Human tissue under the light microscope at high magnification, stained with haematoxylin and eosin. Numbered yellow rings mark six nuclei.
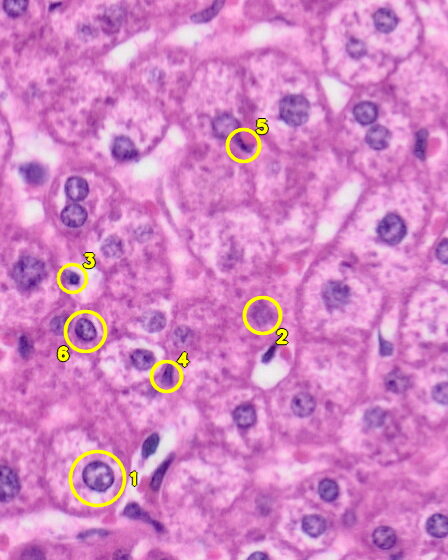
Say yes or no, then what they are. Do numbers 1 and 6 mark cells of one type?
Yes, cell 1 and likewise cell 6 are hepatocytes.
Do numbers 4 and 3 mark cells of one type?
No, a fibroblast or stellate cell is what cell 4 is, and a lymphocyte is what cell 3 is.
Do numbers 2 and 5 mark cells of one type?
No, cell 2 is a hepatocyte, and cell 5 is an endothelial cell.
